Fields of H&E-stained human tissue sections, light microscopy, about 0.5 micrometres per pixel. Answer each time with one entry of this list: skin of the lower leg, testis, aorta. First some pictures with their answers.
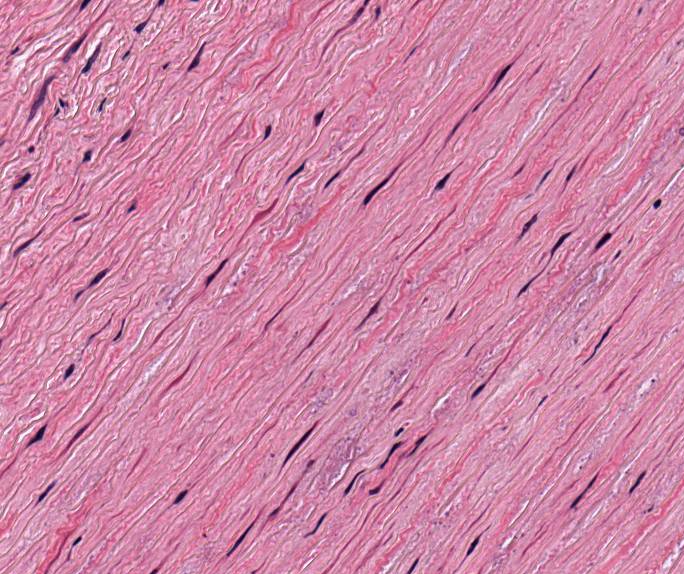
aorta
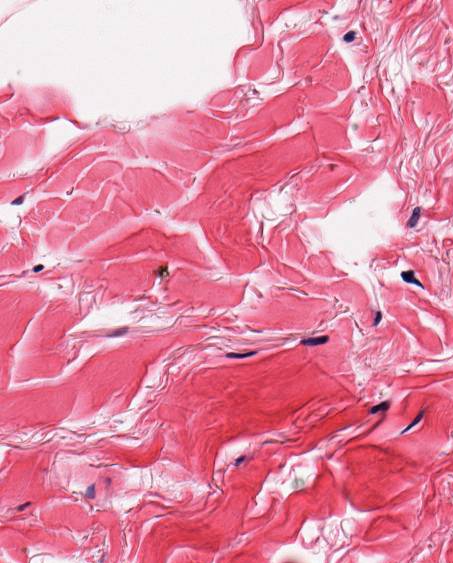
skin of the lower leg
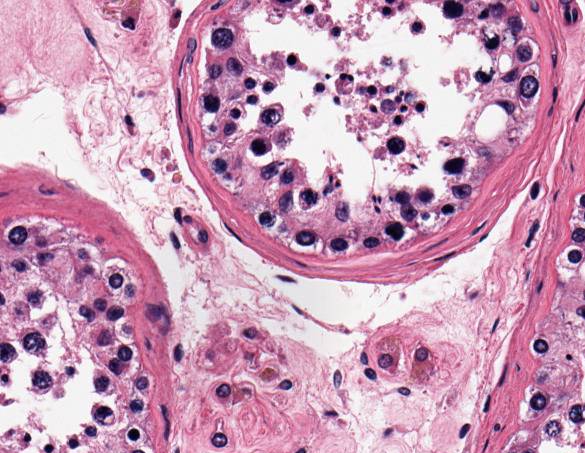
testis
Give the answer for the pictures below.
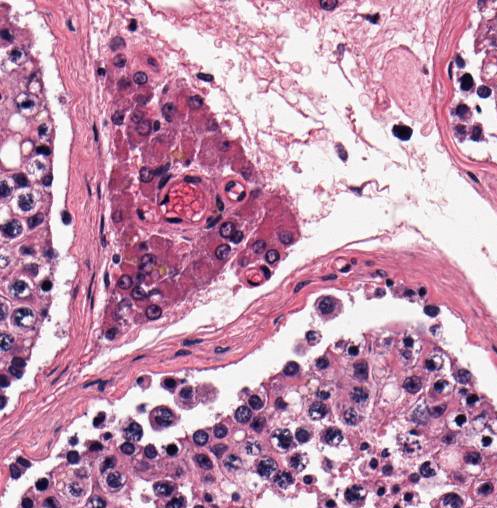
testis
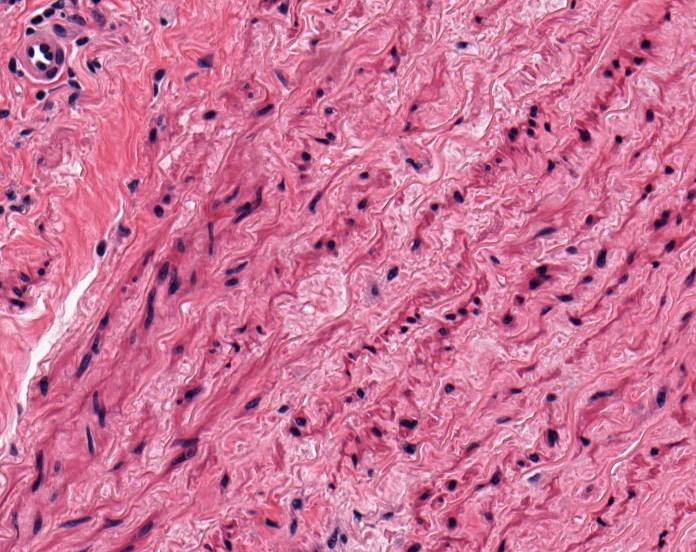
aorta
